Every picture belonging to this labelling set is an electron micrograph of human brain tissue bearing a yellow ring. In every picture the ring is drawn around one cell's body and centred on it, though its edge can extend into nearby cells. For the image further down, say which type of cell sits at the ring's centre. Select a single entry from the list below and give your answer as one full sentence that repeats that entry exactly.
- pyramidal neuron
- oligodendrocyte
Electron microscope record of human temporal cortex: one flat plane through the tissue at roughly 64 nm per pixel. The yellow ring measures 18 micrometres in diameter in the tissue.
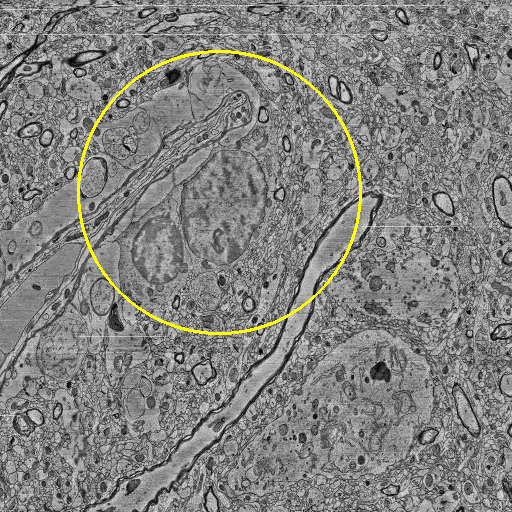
In the picture, an oligodendrocyte is the cell at the centre of the yellow ring.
